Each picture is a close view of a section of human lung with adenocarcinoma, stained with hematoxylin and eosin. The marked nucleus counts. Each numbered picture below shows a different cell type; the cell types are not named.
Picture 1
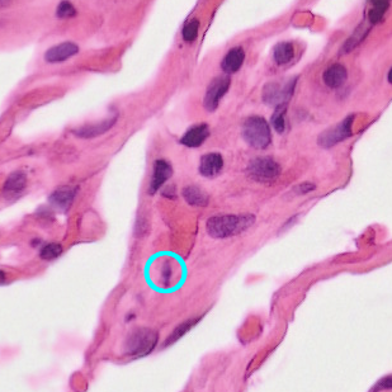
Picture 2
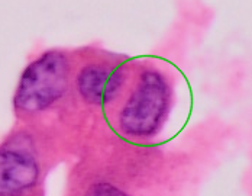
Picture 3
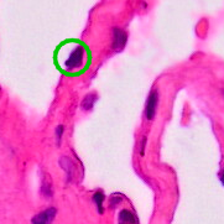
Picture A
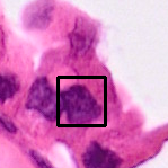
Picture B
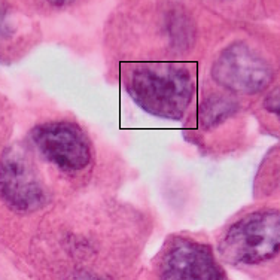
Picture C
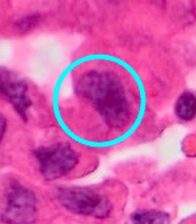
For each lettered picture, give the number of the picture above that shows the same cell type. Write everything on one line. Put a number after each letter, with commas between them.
A 2, B 2, C 2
